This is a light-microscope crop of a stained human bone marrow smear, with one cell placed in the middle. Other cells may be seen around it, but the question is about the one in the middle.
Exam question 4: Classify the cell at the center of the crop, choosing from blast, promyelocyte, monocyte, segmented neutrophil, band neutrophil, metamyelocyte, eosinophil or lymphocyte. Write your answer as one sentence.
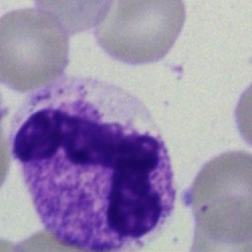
The cell sitting right in the middle is a segmented neutrophil.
